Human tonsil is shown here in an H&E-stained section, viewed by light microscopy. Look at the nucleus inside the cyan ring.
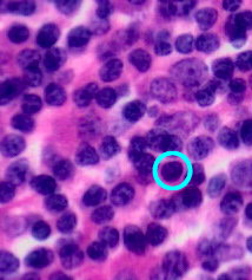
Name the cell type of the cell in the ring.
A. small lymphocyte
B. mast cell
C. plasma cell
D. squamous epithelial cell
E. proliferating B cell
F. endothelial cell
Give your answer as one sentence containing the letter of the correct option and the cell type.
The correct identification, the cell in the ring as a small lymphocyte, is given by option A.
